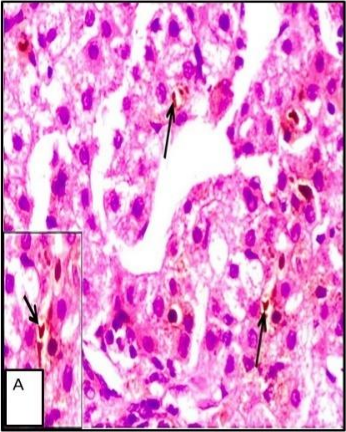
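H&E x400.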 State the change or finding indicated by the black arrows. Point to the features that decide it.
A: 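The arrows point to small yellow-brown plugs. The plugs lie in narrow channels between adjacent polygonal cells with round nuclei. That points to this answer: intracanalicular cholestasis.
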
